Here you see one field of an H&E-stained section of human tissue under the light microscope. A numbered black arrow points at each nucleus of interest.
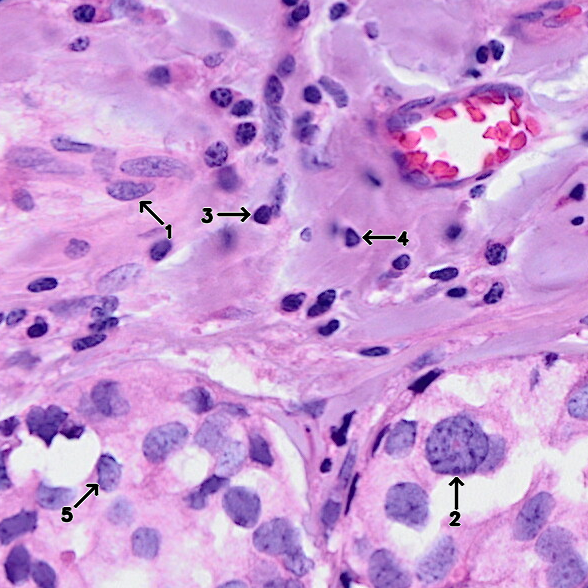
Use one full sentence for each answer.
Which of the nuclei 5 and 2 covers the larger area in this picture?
It is nucleus 2, which covers about 4 times the area of nucleus 5.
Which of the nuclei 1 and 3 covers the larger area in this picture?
At about 2 times the area of nucleus 3, nucleus 1 is the larger of the two.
